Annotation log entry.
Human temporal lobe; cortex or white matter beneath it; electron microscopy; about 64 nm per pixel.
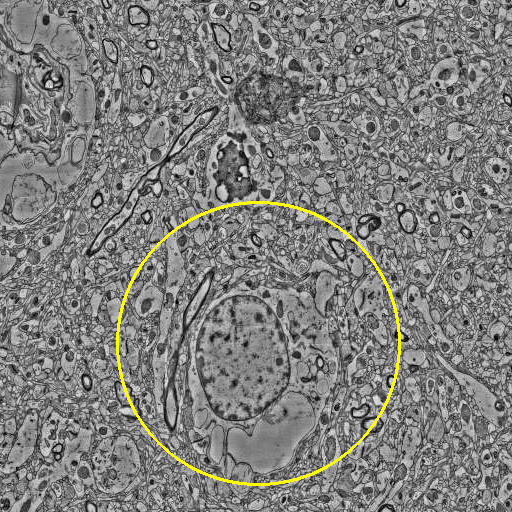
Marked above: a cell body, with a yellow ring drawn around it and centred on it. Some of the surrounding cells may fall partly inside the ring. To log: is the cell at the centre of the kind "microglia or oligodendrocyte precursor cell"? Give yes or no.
No, the cell at the centre is of another kind.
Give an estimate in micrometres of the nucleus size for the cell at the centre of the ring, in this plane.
Roughly 8 by 6 micrometres in this plane, for the nucleus of the ringed cell.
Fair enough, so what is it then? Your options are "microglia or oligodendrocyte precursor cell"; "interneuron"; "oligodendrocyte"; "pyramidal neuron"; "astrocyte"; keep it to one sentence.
The cell shown in the ring is an astrocyte.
